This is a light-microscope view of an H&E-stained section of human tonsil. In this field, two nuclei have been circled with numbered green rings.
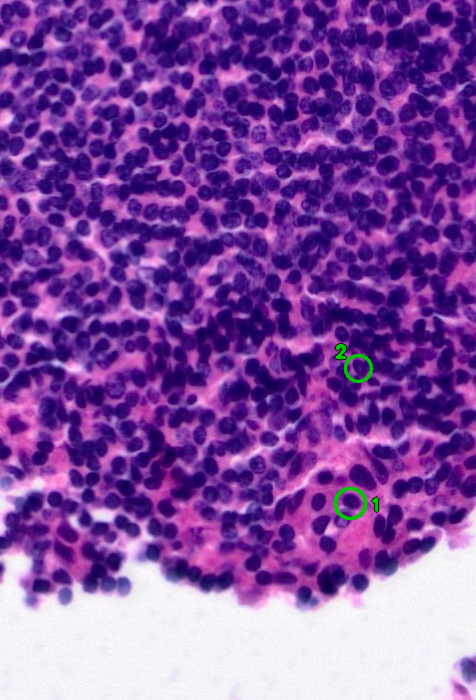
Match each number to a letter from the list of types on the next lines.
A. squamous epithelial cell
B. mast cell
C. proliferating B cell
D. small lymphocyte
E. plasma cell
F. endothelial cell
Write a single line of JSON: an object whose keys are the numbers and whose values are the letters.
{"1": "E", "2": "D"}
